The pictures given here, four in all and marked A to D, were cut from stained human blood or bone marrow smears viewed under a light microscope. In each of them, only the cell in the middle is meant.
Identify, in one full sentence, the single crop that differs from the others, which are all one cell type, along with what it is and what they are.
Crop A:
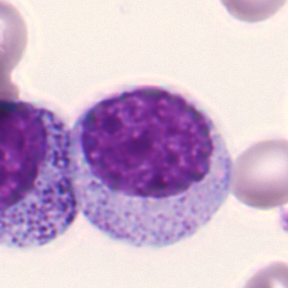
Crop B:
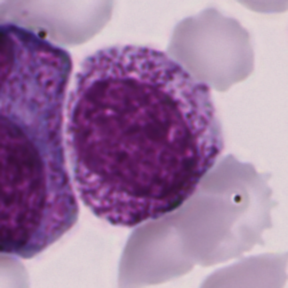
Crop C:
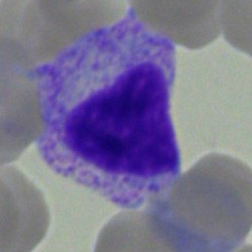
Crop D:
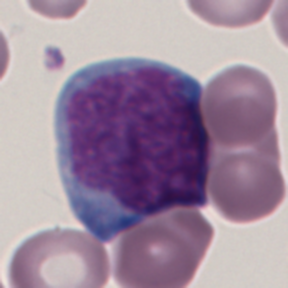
Crop D shows a blast, while all of the others show myelocytes.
